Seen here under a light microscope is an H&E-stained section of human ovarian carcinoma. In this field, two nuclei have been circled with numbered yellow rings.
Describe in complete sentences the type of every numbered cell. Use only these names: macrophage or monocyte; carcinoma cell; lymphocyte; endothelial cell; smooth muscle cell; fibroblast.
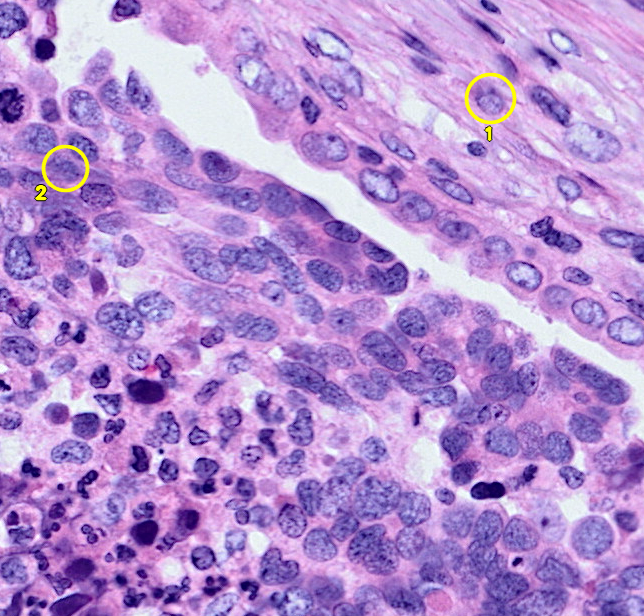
Cell 1 is a fibroblast and cell 2 is a carcinoma cell.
